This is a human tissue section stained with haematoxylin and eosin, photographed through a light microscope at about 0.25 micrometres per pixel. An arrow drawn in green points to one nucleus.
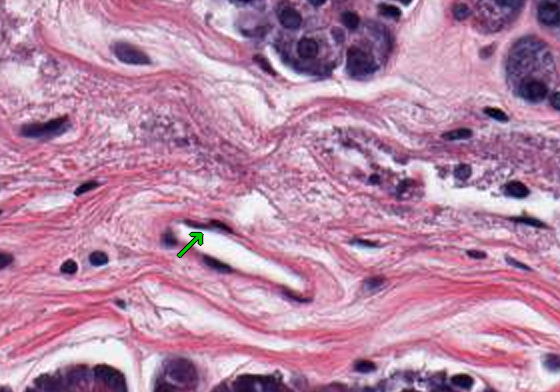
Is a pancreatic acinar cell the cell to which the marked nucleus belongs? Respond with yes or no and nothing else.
no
